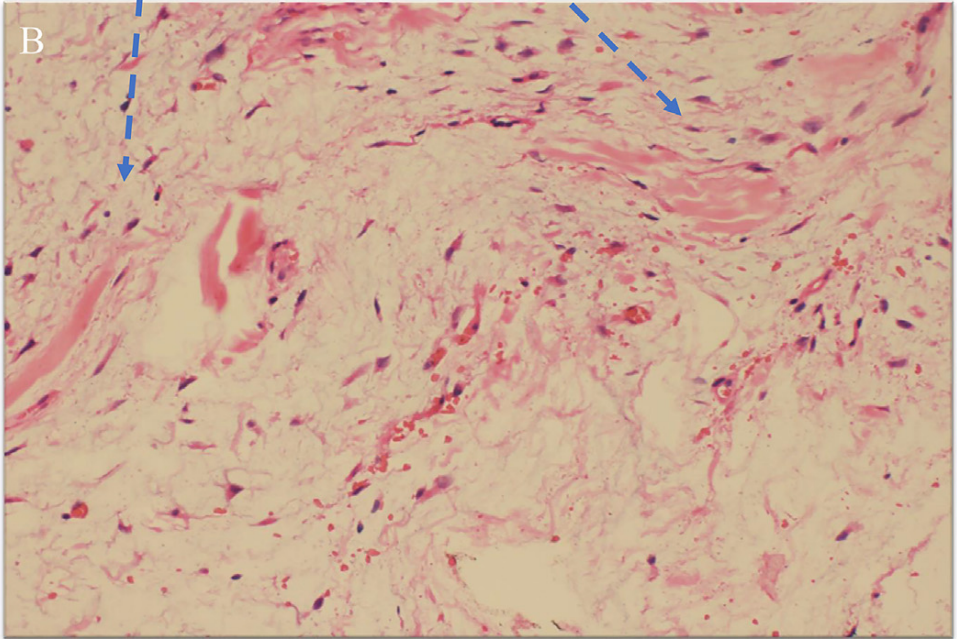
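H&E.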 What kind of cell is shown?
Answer: stellate cells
